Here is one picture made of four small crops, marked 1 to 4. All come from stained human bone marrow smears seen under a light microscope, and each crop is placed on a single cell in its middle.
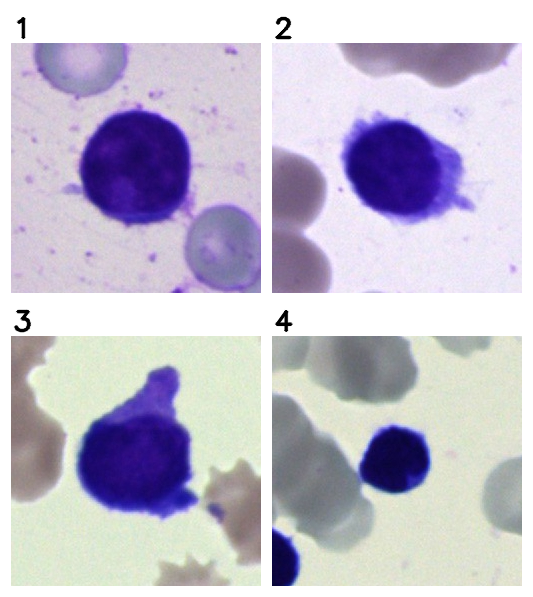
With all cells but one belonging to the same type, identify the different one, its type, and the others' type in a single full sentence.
Among the crops, crop 3 is unique in showing a blast; the others show lymphocytes.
